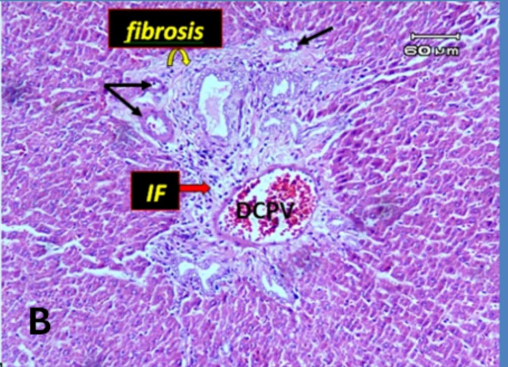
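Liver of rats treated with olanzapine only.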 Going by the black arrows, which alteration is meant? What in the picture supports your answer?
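Proliferation of bile duct. Several small duct profiles lined by cuboidal cells lie in the portal area. The portal area is crowded with small cells and ducts.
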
